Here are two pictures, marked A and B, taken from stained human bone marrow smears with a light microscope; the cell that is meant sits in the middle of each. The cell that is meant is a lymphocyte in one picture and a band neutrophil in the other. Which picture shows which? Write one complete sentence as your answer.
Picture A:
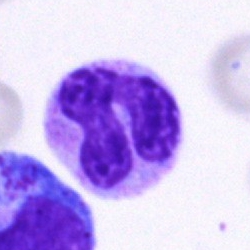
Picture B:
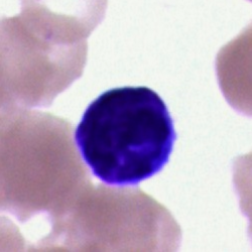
Picture B shows a lymphocyte, while picture A shows a band neutrophil.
